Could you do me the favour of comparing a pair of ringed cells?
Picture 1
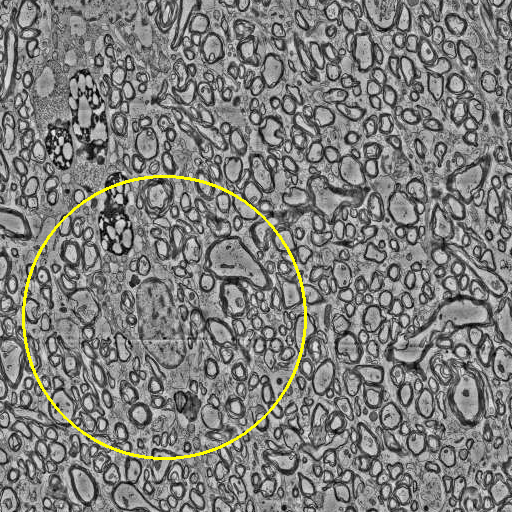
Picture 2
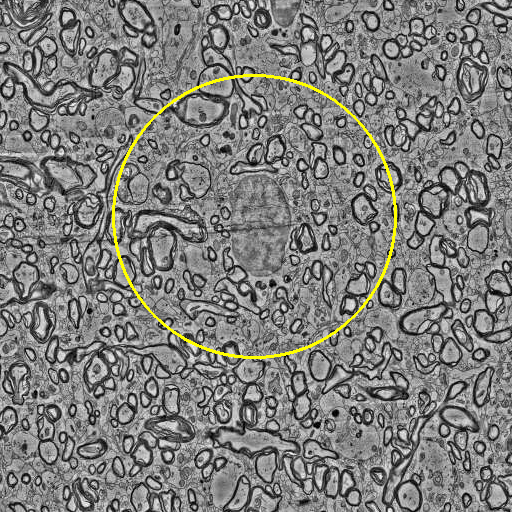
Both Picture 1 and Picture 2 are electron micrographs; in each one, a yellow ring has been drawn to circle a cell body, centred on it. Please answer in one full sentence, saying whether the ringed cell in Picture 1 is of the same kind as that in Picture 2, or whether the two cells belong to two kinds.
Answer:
The ringed cells in Picture 1 and Picture 2 belong to two kinds.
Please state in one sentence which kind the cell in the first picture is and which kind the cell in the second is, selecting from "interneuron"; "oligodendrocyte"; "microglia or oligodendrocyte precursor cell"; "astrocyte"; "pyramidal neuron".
The first ringed cell is a microglial cell or oligodendrocyte precursor cell, the second ringed cell an oligodendrocyte.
